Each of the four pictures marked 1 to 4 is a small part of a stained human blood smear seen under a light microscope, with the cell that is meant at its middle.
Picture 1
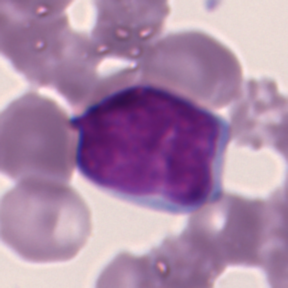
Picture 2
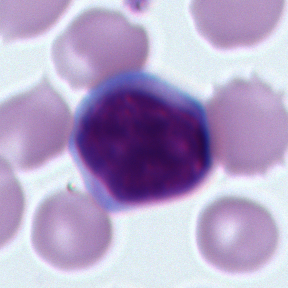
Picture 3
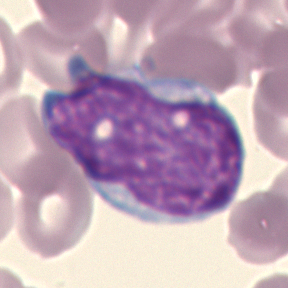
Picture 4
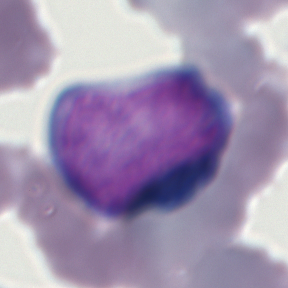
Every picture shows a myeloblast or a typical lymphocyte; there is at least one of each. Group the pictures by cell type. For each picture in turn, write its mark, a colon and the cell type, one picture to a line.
1: myeloblast
2: typical lymphocyte
3: myeloblast
4: myeloblast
